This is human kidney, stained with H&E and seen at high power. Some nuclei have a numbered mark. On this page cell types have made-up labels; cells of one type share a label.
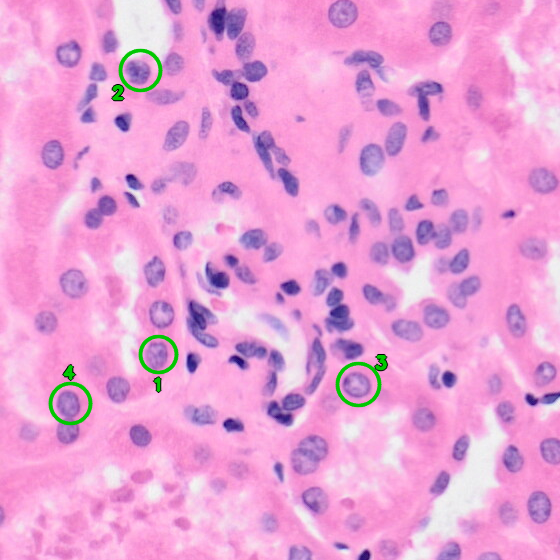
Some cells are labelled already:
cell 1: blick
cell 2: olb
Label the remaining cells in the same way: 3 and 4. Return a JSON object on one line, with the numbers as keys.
{"3": "blick", "4": "blick"}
